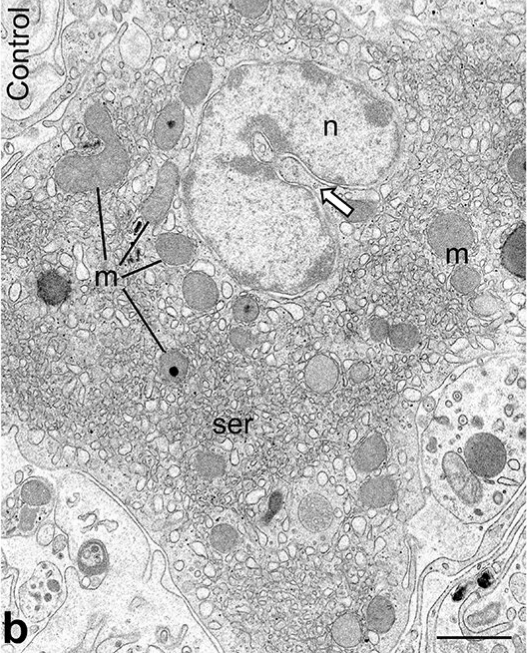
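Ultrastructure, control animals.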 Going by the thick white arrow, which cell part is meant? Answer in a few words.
infoldings of the nuclear envelope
